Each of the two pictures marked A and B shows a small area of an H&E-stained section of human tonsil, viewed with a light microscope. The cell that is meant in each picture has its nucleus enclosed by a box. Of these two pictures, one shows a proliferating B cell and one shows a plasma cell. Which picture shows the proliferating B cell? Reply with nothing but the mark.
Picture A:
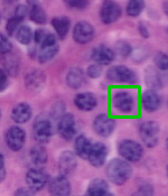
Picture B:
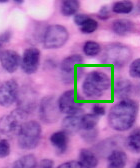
B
